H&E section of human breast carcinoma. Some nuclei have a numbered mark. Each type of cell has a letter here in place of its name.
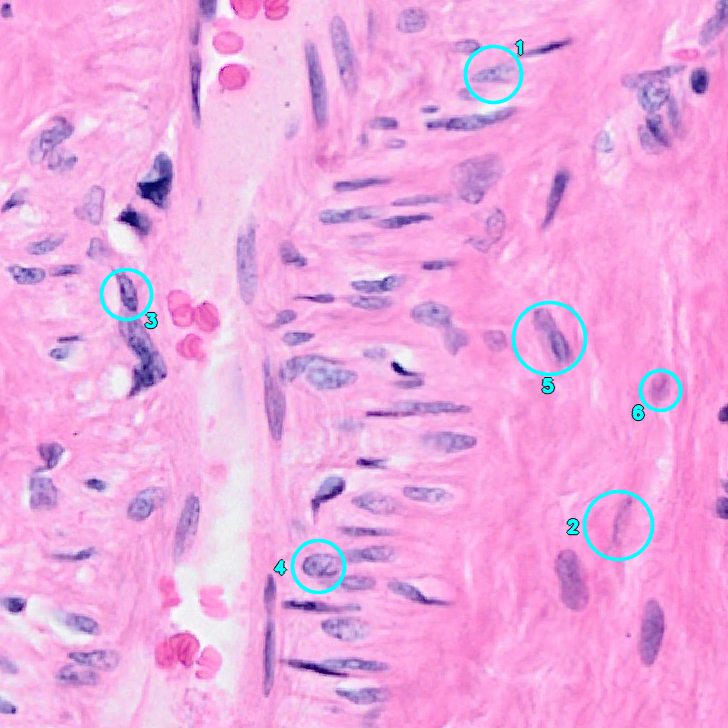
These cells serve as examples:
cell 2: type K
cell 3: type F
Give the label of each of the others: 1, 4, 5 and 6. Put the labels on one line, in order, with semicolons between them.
type F; type F; type K; type K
